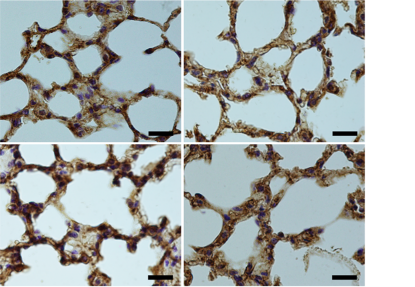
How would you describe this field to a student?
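Four fields of lung show the fine meshwork of alveolar walls around large, clear, rounded air spaces. The walls are thin septa, one to a few cells thick, that branch and join to outline the spaces. Nuclei are small, oval to round and stained blue to purple. They sit within the septa, often where walls meet. The cytoplasm and thin cell layers along the walls carry brown stain, which outlines the air spaces throughout the tissue. The air spaces themselves are empty and pale. The septa appear thicker and more crowded with nuclei in some fields than in others.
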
